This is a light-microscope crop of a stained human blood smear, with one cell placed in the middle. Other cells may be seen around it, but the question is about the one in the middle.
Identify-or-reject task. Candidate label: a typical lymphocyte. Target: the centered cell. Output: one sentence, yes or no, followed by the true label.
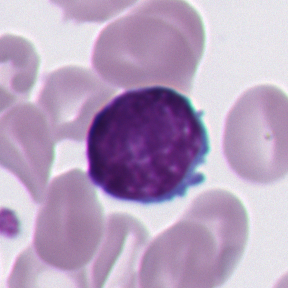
Yes, that middle cell in the crop is a typical lymphocyte.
